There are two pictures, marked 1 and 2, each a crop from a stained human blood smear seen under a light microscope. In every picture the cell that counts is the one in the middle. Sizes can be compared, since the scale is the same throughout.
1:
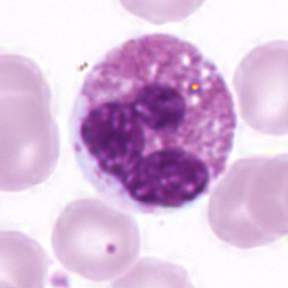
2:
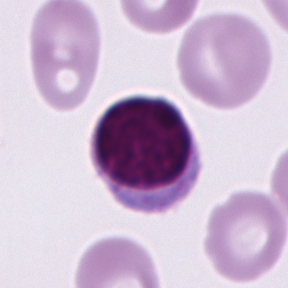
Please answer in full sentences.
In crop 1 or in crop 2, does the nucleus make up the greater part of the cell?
It is the cell in crop 2 that is filled more by its nucleus.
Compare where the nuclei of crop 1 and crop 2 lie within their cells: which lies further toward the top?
Seen within its cell, the nucleus in crop 2 lies further toward the top.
